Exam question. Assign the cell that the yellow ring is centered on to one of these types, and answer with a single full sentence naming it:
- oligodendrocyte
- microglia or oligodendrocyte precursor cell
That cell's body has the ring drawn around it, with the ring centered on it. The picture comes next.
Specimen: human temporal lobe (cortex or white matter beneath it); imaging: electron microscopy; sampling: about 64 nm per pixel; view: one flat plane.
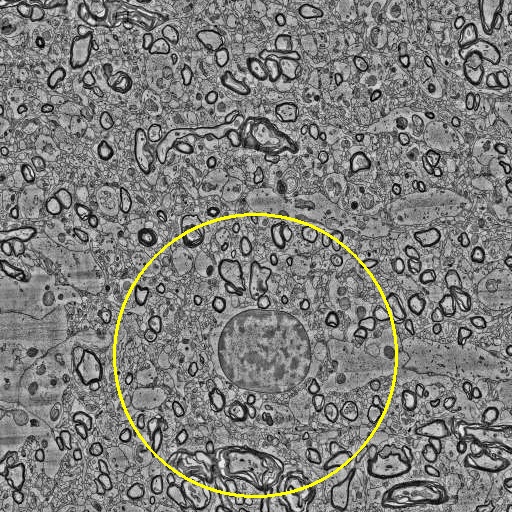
In the micrograph, the cell the yellow ring is centered on is a microglial cell or oligodendrocyte precursor cell.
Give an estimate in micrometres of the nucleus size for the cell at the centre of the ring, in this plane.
In this plane the ringed cell's nucleus is roughly 6 micrometres across.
